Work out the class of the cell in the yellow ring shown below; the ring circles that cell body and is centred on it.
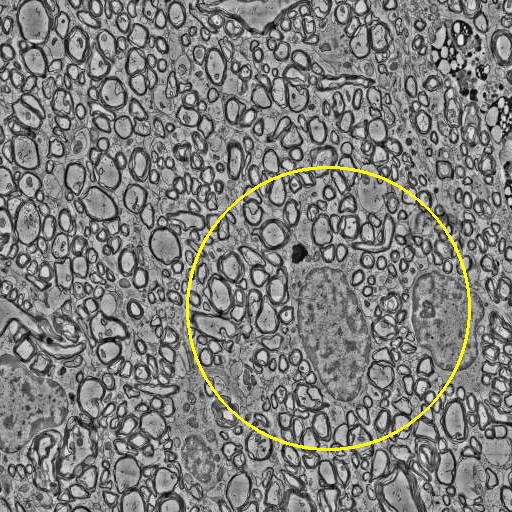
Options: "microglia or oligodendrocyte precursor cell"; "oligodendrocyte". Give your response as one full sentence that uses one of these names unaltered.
The body ringed in yellow, right at the ring's centre, is that of an oligodendrocyte.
